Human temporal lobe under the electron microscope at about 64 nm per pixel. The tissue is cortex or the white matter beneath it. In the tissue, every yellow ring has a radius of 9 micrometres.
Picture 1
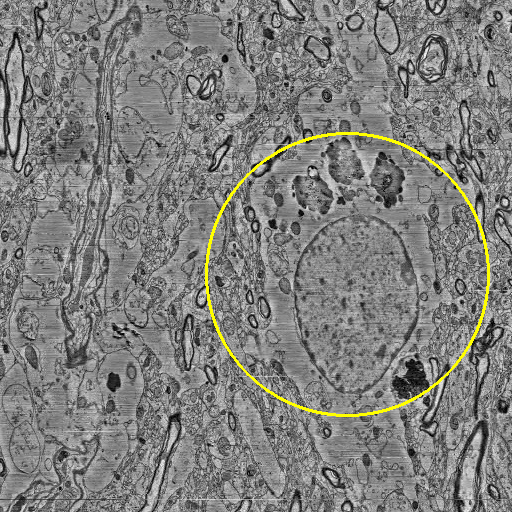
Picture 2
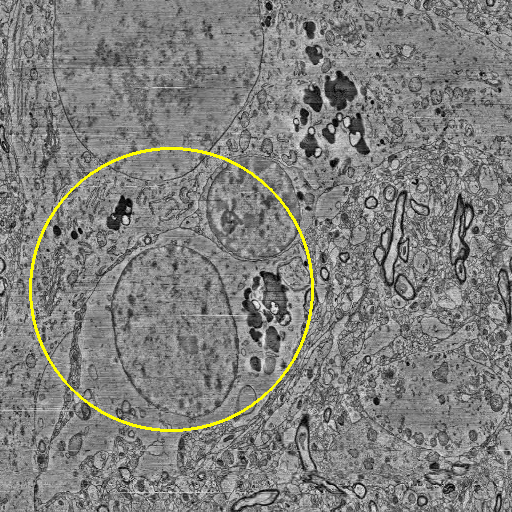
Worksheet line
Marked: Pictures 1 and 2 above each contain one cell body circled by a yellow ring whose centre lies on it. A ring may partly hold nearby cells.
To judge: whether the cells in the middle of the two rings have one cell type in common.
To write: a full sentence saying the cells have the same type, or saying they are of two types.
The cells in the middle of the rings in Picture 1 and Picture 2 have the same type.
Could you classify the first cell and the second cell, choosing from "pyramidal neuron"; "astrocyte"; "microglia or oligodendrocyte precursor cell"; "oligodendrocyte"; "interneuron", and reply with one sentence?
Each cell, in the first picture and the second, is an astrocyte.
